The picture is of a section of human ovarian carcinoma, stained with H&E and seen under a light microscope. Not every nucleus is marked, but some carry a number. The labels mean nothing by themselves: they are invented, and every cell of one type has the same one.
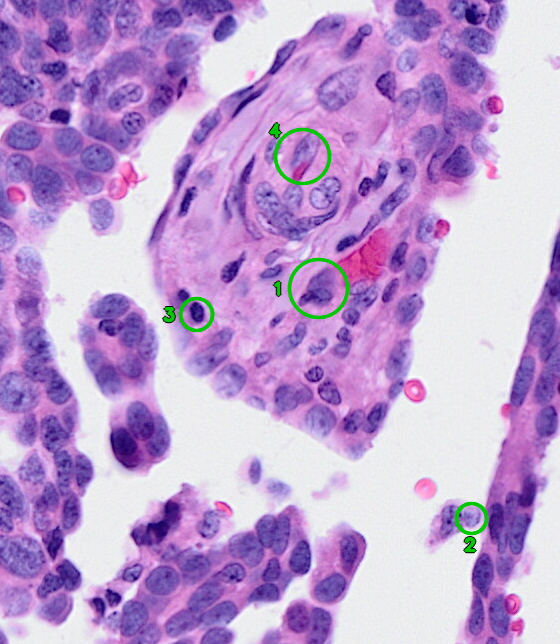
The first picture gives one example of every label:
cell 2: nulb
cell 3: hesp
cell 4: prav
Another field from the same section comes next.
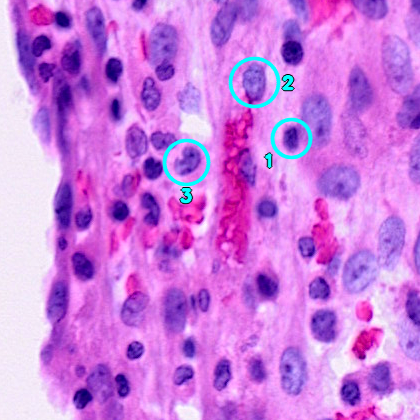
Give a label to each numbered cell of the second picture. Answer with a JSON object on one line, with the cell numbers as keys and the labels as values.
{"1": "hesp", "2": "prav", "3": "nulb"}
